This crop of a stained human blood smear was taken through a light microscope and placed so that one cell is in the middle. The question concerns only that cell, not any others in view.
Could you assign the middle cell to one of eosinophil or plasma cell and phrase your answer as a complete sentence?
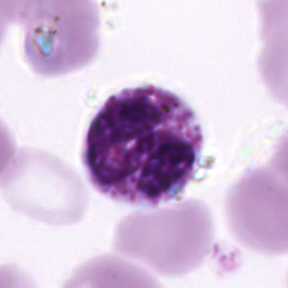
The cell the crop is centered on is an eosinophil.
